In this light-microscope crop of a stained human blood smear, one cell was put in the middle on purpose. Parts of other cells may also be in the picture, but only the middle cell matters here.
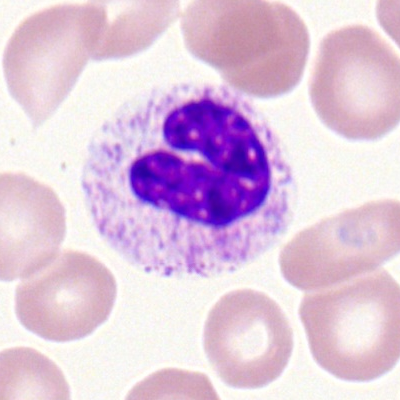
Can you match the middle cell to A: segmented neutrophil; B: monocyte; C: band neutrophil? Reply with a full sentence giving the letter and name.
Here the right option is C, as the cell in the middle is a band neutrophil.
